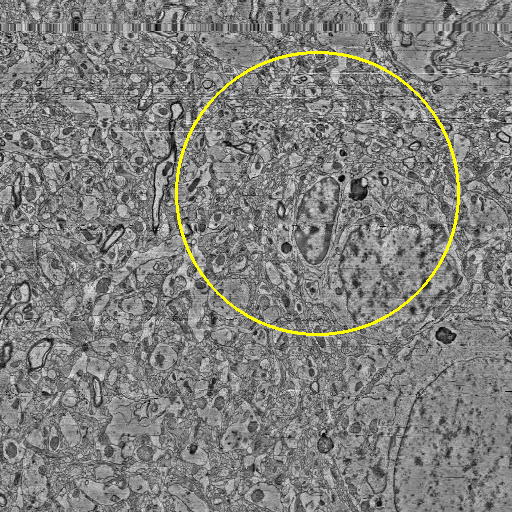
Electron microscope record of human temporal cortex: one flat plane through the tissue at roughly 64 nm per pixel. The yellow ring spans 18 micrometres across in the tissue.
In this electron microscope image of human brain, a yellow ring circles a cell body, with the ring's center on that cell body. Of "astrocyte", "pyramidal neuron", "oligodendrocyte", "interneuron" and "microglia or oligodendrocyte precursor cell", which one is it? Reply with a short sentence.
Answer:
It is a microglial cell or oligodendrocyte precursor cell at the center of the ring.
